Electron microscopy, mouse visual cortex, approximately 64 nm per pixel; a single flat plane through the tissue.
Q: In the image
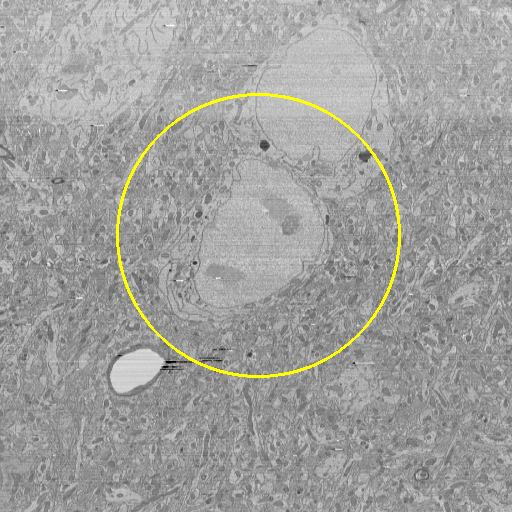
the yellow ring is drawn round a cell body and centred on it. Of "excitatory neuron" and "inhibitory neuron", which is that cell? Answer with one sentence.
The cell centred in the ring is an inhibitory neuron.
